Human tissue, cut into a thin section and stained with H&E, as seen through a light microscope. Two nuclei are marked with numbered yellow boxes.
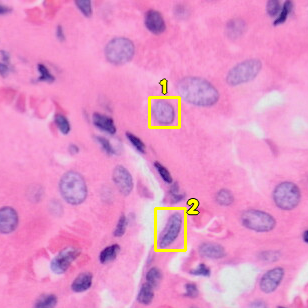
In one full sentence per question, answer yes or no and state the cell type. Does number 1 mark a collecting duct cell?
No, number 1 identifies a proximal tubule cell, not a collecting duct cell.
